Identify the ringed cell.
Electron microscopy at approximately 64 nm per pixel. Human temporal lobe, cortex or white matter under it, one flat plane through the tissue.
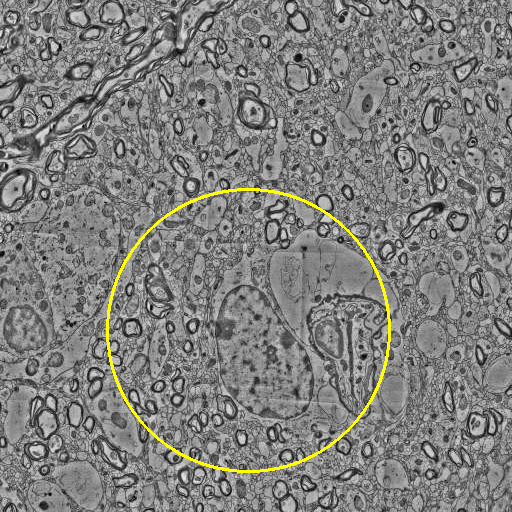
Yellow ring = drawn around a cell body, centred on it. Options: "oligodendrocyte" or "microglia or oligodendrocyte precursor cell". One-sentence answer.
What the ring is centred on is a microglial cell or oligodendrocyte precursor cell.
